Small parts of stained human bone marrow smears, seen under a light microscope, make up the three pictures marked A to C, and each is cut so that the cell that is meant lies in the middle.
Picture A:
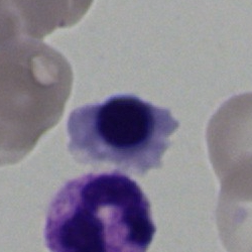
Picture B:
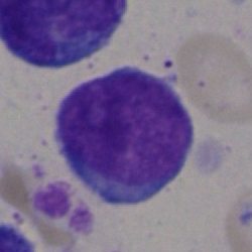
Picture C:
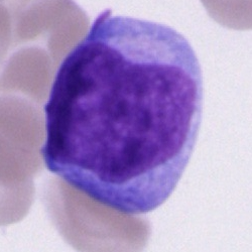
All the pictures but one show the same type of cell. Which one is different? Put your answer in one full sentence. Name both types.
All pictures except A show blasts; picture A shows an erythroblast.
